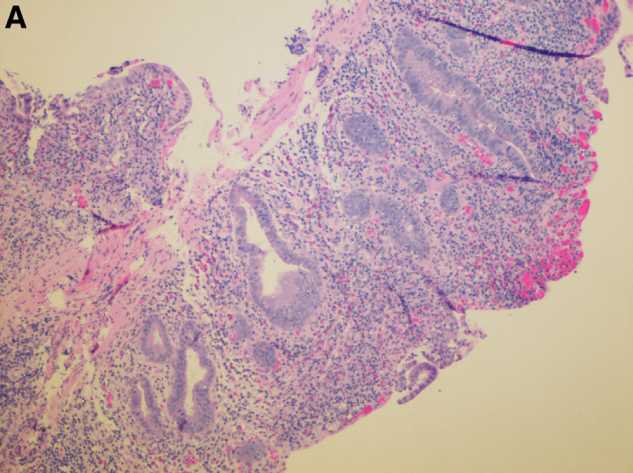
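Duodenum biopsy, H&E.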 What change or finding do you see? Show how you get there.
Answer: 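The mucosal surface is flat, without tall finger-like villi. Glands are irregular in shape and spacing.
Answer: flattened villi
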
